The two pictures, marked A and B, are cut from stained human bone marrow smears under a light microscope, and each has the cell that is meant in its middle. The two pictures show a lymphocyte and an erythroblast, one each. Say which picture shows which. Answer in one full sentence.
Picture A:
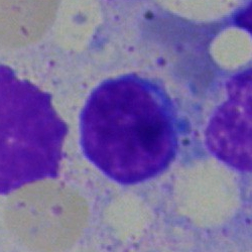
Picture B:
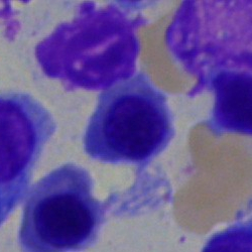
Picture A shows a lymphocyte and picture B shows an erythroblast.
